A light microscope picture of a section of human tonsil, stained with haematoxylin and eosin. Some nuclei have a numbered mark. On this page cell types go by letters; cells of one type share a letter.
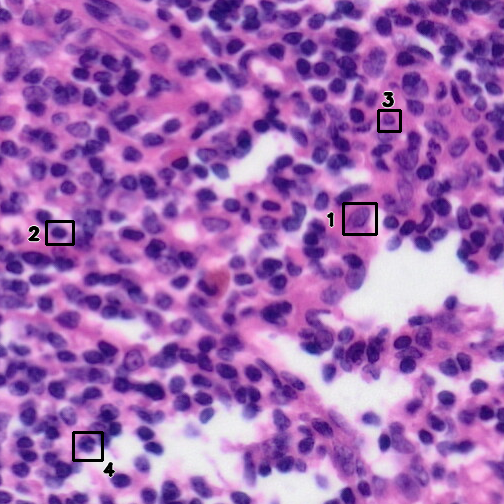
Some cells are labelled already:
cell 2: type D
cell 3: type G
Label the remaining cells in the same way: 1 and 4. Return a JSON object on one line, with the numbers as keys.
{"1": "type G", "4": "type D"}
